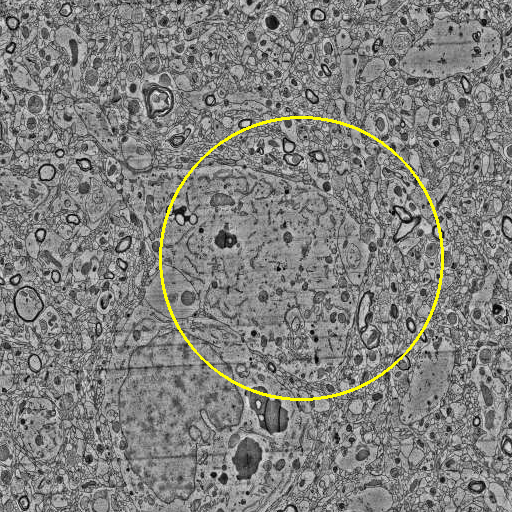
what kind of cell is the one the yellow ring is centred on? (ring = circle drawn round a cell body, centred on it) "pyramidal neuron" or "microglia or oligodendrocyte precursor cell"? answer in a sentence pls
The ring is drawn around a pyramidal neuron.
